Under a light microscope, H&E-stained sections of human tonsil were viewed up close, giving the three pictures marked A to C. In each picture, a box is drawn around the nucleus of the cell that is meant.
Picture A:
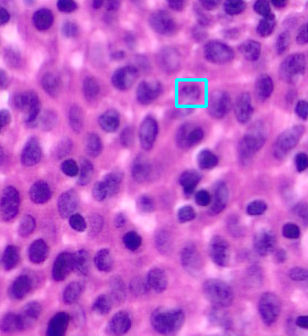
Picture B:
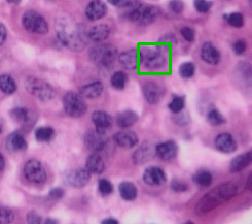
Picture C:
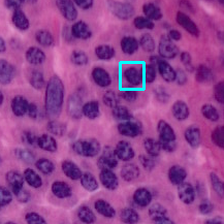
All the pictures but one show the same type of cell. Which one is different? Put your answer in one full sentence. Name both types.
The others show plasma cells, but picture A shows a squamous epithelial cell.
